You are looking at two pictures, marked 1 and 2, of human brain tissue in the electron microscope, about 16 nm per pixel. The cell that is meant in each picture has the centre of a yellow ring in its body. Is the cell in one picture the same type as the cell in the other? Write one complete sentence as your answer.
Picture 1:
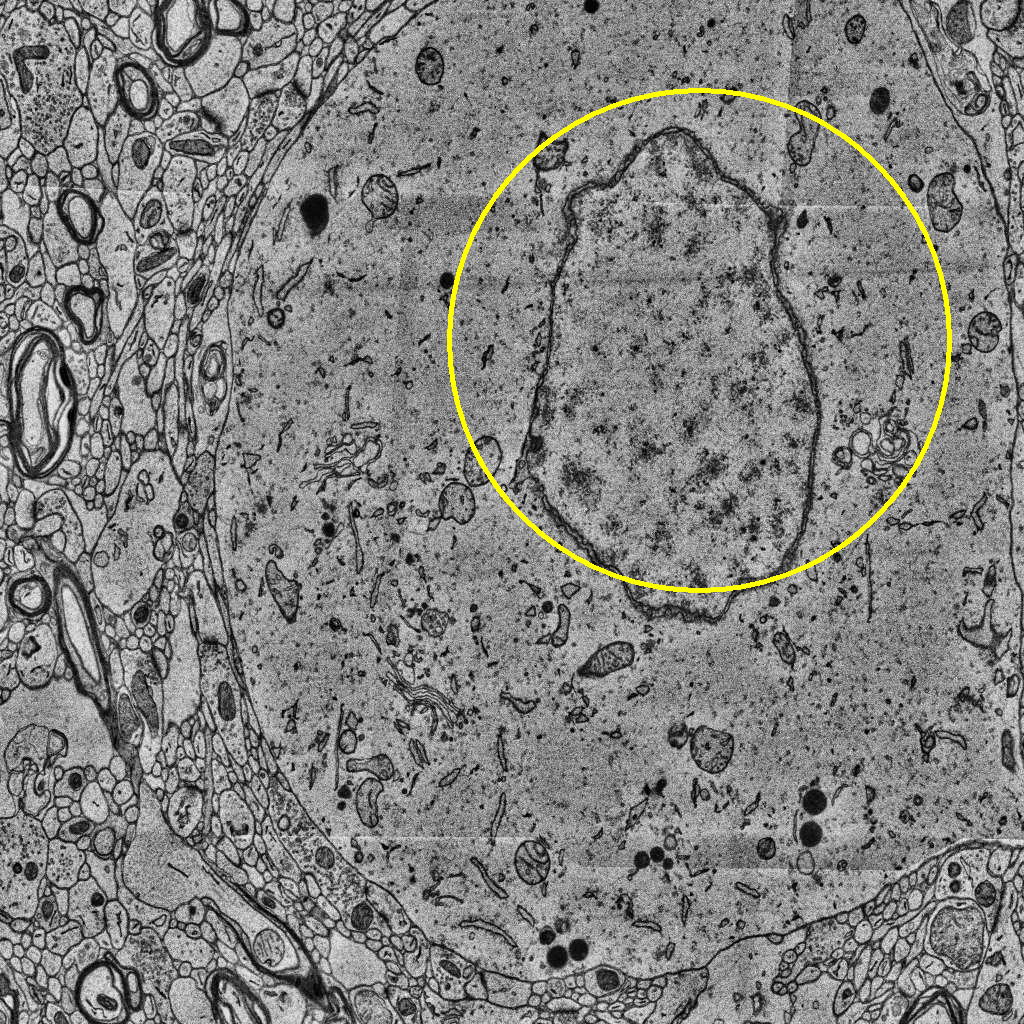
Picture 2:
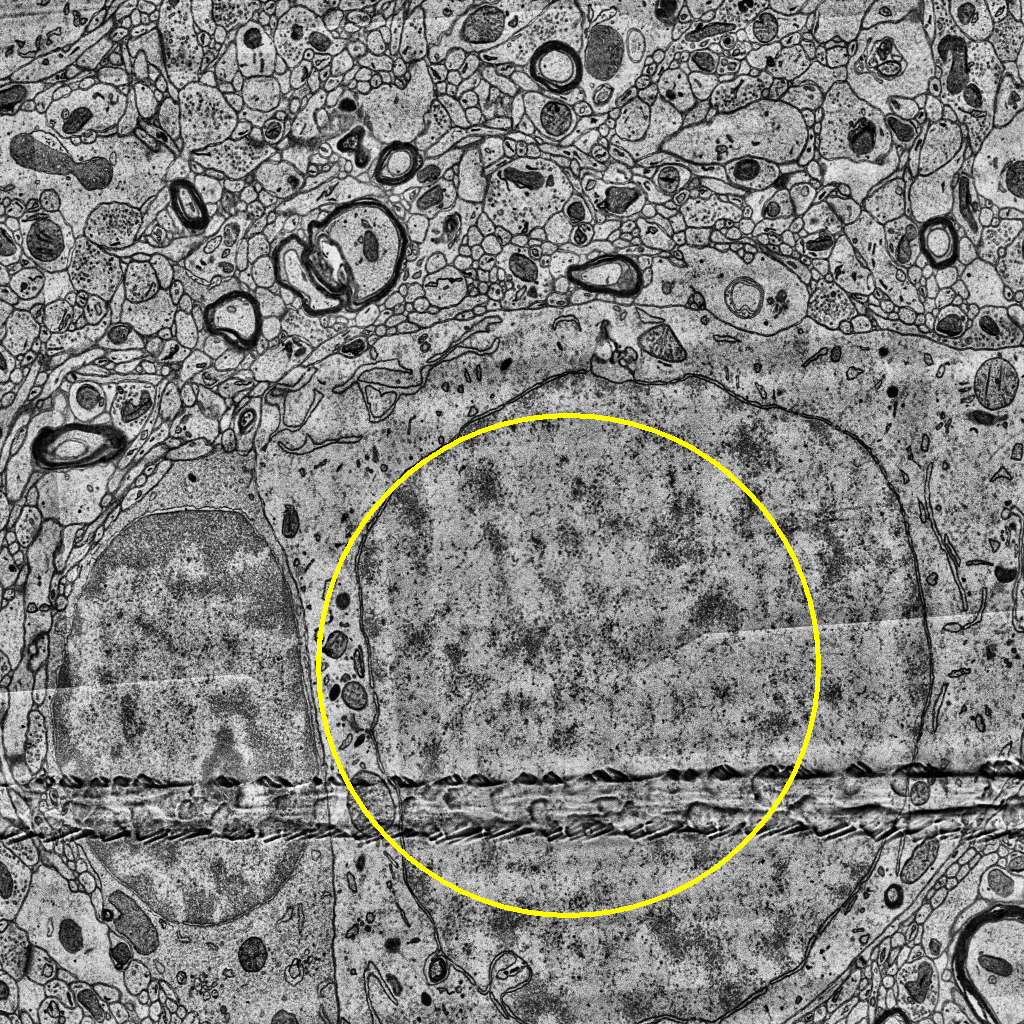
Yes, both are pyramidal neurons.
